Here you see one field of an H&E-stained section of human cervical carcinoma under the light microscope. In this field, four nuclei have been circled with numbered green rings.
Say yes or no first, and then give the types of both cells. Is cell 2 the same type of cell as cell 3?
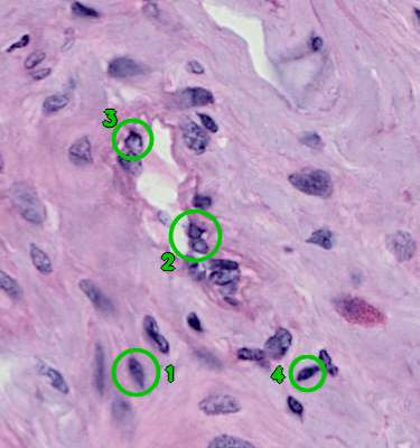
Yes, for cells 2 and 3 alike, the identity is that of endothelial cells.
